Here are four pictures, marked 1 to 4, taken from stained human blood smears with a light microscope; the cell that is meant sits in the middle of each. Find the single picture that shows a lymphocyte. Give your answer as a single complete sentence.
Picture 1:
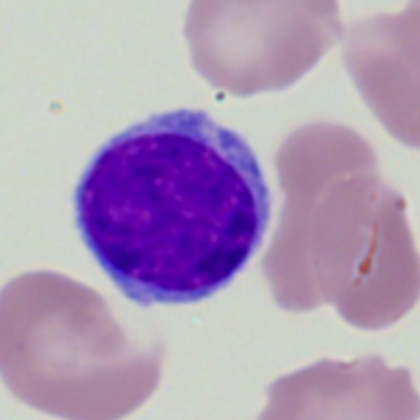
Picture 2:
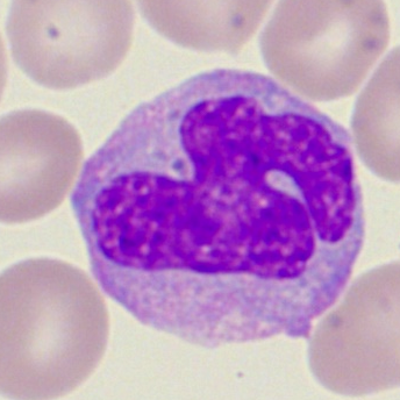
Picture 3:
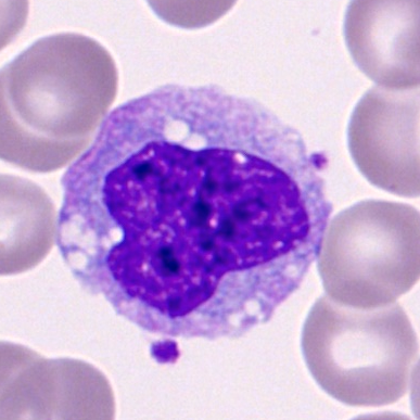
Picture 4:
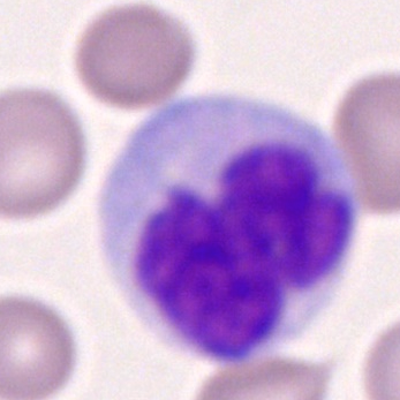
Picture 1 shows the lymphocyte.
